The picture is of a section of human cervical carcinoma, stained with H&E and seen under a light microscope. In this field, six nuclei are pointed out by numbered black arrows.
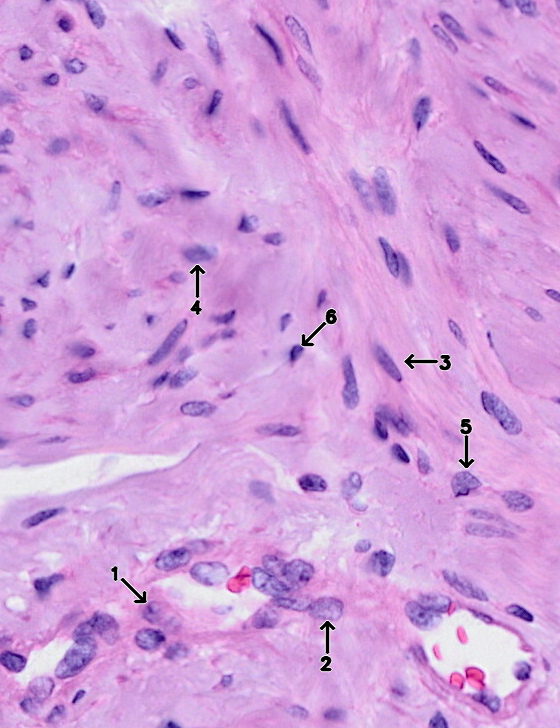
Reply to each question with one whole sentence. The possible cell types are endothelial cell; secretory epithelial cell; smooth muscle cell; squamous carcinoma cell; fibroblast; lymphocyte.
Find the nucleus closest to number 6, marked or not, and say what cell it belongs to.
The nucleus nearest to number 6 is that of a fibroblast.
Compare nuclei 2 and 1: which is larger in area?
The larger nucleus is 2, at roughly 2 times the area of 1.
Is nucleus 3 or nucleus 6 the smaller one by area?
Number 6 is smaller, since number 3 takes up about 2 times as much area.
